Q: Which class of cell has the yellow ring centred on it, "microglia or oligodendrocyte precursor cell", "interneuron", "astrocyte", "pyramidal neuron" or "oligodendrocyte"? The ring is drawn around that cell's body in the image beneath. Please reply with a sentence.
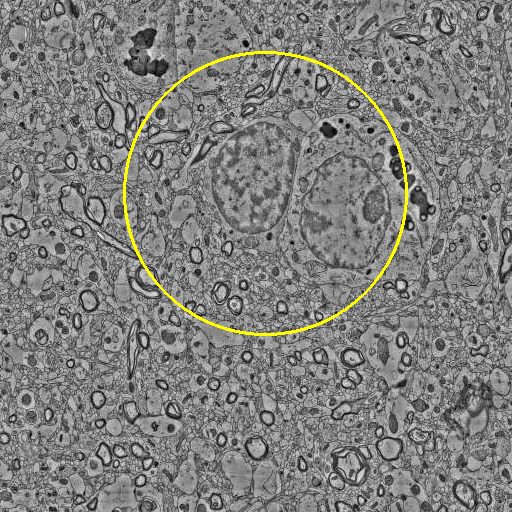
It is centred on an oligodendrocyte.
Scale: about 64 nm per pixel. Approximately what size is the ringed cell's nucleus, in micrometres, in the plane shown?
In this plane, about 7 micrometres in length and 5 in width.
